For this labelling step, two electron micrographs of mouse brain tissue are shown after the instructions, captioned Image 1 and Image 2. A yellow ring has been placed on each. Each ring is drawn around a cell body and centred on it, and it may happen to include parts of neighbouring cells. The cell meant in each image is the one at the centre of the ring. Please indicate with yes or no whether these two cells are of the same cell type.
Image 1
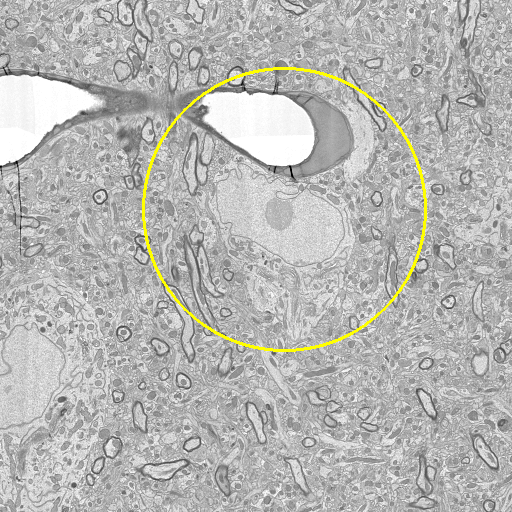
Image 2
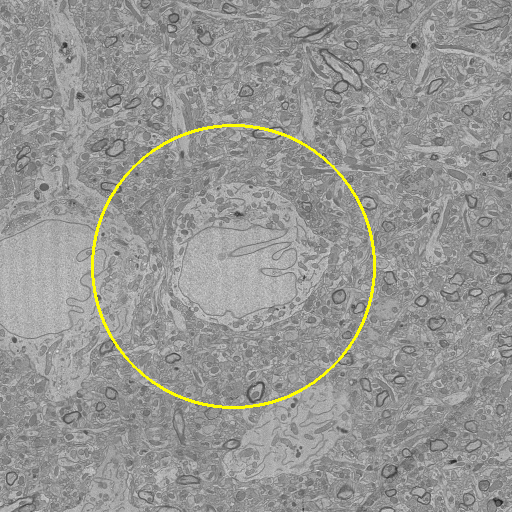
yes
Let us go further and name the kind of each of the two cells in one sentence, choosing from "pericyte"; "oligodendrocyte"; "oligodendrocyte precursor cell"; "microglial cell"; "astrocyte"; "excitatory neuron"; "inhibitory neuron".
Both cells are the same kind, each one being an inhibitory neuron.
